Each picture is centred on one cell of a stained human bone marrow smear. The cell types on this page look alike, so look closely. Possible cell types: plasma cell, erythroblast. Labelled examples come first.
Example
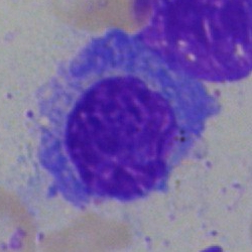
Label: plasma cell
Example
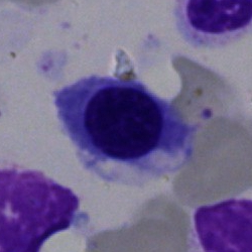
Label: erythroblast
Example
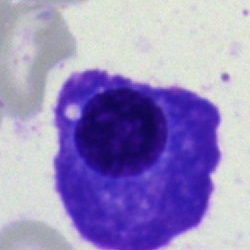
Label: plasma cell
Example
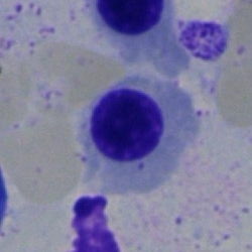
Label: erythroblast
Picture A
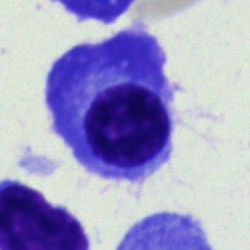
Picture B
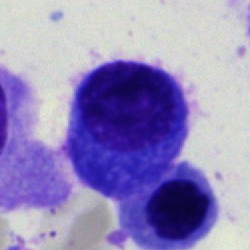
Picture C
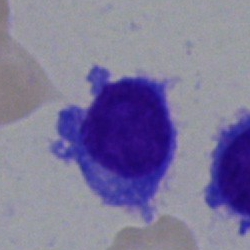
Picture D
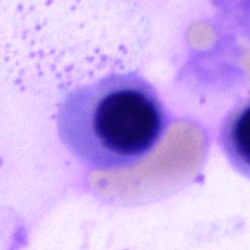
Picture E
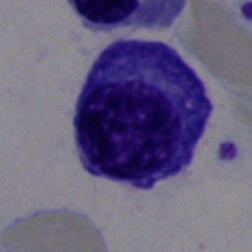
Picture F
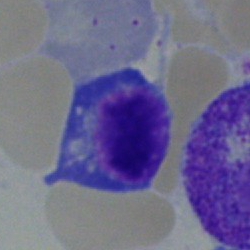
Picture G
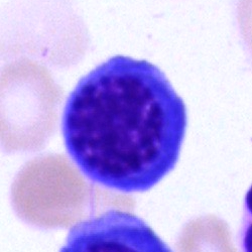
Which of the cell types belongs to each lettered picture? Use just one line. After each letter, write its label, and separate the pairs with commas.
A plasma cell, B plasma cell, C plasma cell, D erythroblast, E plasma cell, F plasma cell, G erythroblast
